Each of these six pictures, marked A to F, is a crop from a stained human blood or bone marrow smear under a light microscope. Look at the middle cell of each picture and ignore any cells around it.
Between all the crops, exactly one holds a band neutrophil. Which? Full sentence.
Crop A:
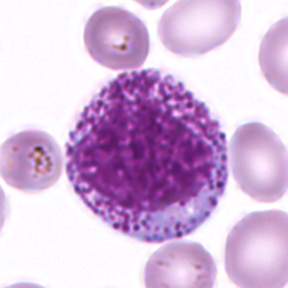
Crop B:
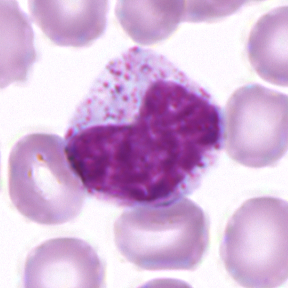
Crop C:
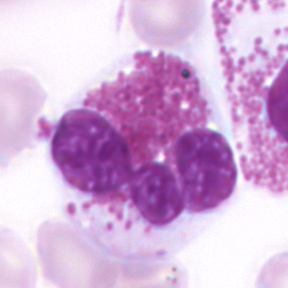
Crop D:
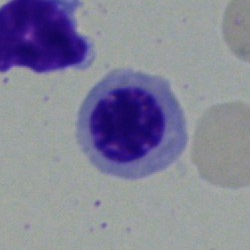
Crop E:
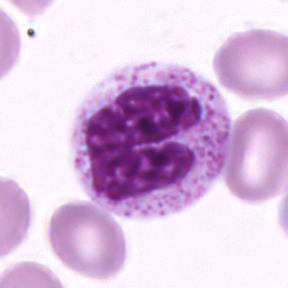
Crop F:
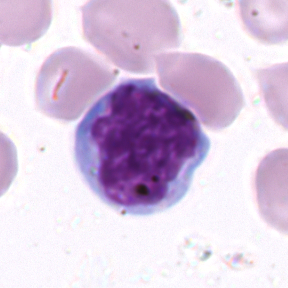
The sole crop showing a band neutrophil is crop E.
